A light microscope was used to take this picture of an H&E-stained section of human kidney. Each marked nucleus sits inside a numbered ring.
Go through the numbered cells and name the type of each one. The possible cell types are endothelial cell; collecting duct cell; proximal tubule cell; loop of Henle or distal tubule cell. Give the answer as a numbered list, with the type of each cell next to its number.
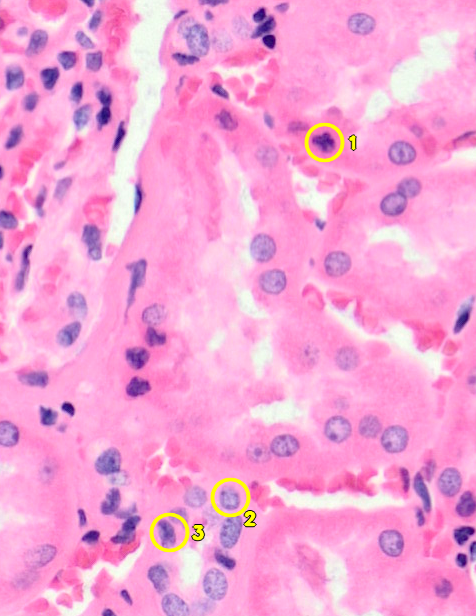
1. proximal tubule cell
2. collecting duct cell
3. collecting duct cell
